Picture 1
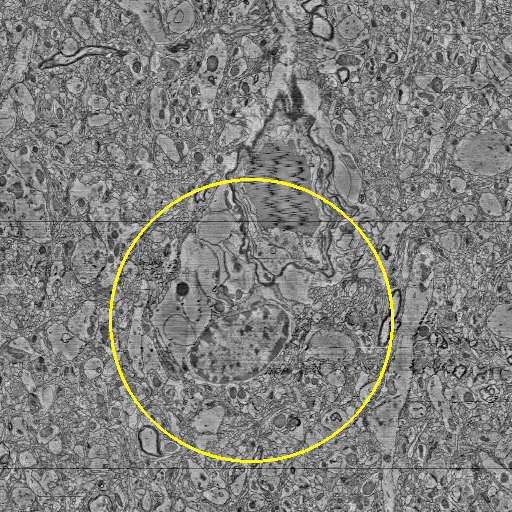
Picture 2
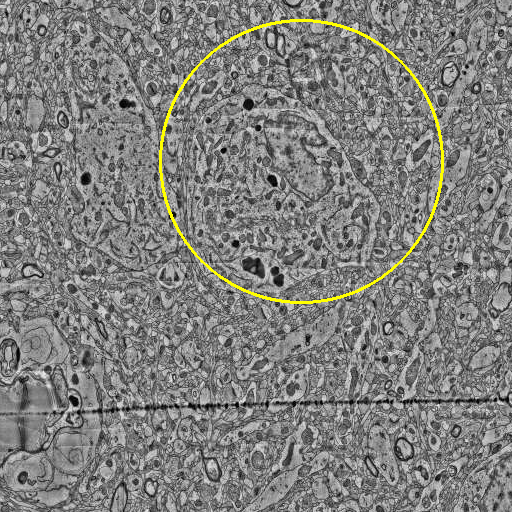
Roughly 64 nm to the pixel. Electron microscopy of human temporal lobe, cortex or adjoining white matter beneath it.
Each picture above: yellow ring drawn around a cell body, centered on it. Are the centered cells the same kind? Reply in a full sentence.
No, the two cells are two kinds of cell.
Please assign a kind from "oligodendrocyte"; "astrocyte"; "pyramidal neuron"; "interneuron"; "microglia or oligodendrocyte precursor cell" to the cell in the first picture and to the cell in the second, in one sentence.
In the first picture we have a microglial cell or oligodendrocyte precursor cell, and in the second, an interneuron.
